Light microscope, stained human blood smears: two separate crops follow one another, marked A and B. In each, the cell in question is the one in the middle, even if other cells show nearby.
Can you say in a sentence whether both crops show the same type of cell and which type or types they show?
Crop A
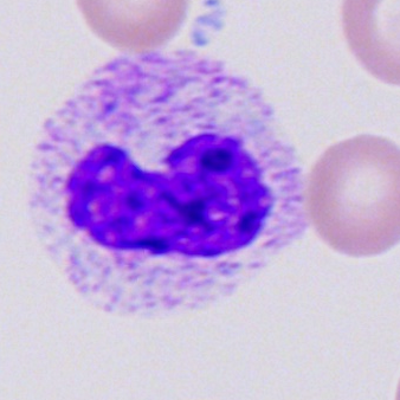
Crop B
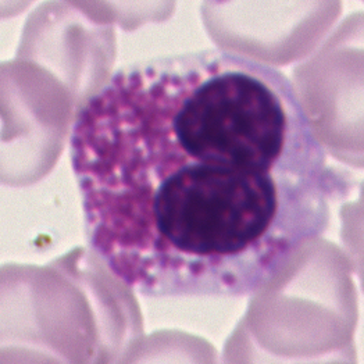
No, what crop A shows is a band neutrophil, and what crop B shows is an eosinophil.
